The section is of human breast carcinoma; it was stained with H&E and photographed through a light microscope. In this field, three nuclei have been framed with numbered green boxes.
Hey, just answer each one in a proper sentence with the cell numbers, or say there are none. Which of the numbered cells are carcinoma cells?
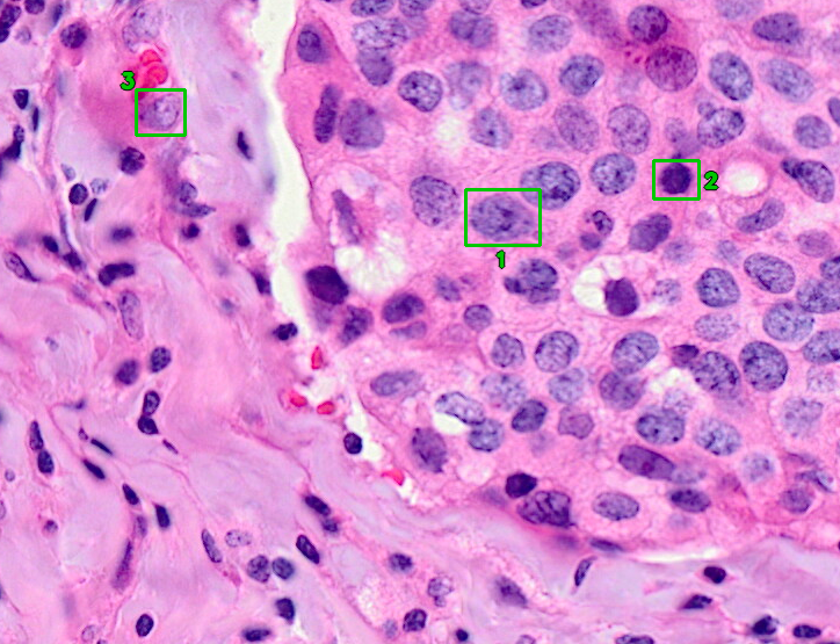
The cells numbered 1 and 2 are of one kind: carcinoma cells.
